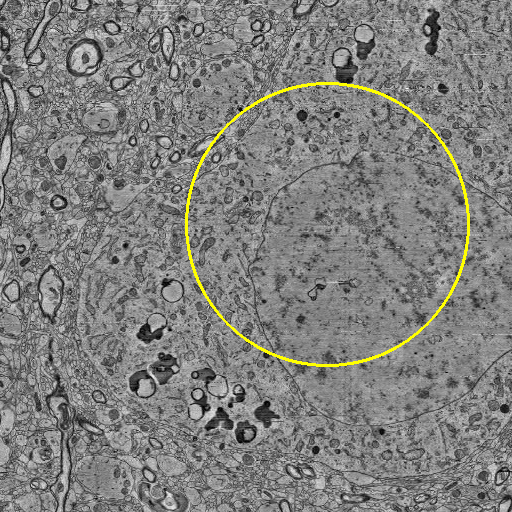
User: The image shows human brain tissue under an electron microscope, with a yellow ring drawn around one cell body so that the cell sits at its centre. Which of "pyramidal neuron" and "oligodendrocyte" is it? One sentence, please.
At the centre of the ring sits a pyramidal neuron.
